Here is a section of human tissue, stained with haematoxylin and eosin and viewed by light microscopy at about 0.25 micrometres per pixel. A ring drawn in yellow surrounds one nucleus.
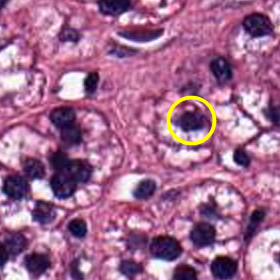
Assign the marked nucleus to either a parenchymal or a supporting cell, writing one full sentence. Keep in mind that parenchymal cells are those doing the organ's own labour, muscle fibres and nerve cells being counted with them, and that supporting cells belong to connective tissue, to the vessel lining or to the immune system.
The parenchymal cell containing the marked nucleus is an adrenal cortical cell.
